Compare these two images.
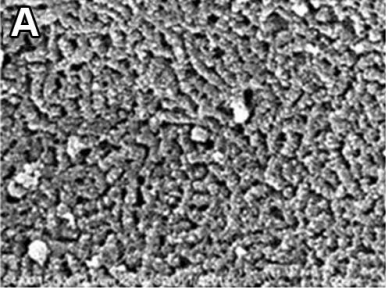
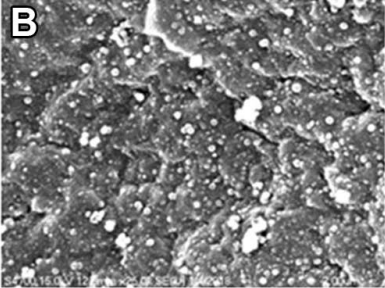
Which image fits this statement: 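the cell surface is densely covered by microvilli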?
The first image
